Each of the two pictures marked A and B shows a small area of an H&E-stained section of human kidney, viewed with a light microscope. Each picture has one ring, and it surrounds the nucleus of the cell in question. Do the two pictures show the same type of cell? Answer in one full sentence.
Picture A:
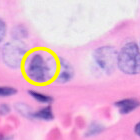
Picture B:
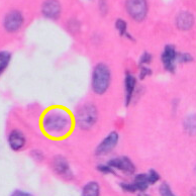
No, the types are not the same, since picture A shows a collecting duct cell and picture B a “loop of Henle or distal tubule cell”.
